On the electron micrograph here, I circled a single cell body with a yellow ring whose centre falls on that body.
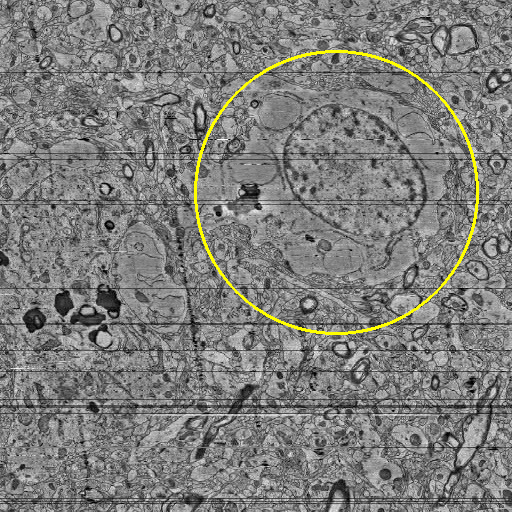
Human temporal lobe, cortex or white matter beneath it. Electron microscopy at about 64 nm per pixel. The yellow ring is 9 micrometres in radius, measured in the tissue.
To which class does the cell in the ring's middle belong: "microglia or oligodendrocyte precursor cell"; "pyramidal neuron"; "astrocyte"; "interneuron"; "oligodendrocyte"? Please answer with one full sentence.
In this picture, the cell body circled at the ring's centre belongs to an astrocyte.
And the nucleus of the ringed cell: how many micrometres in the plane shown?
Approximately 10 by 8 micrometers in this plane.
